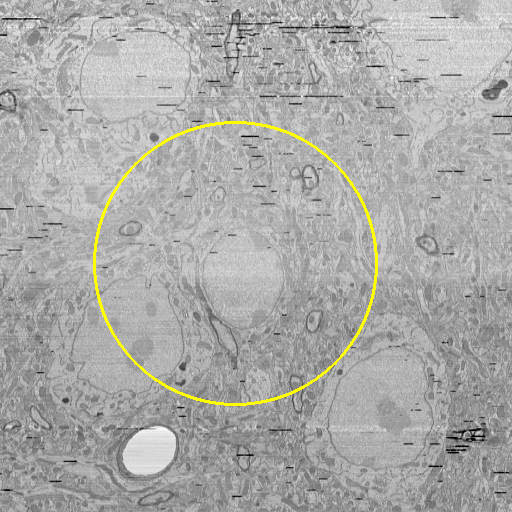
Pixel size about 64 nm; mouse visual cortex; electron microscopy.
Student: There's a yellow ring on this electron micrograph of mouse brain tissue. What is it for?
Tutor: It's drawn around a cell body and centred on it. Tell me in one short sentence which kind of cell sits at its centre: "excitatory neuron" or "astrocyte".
The cell at the centre of the ring is an astrocyte.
